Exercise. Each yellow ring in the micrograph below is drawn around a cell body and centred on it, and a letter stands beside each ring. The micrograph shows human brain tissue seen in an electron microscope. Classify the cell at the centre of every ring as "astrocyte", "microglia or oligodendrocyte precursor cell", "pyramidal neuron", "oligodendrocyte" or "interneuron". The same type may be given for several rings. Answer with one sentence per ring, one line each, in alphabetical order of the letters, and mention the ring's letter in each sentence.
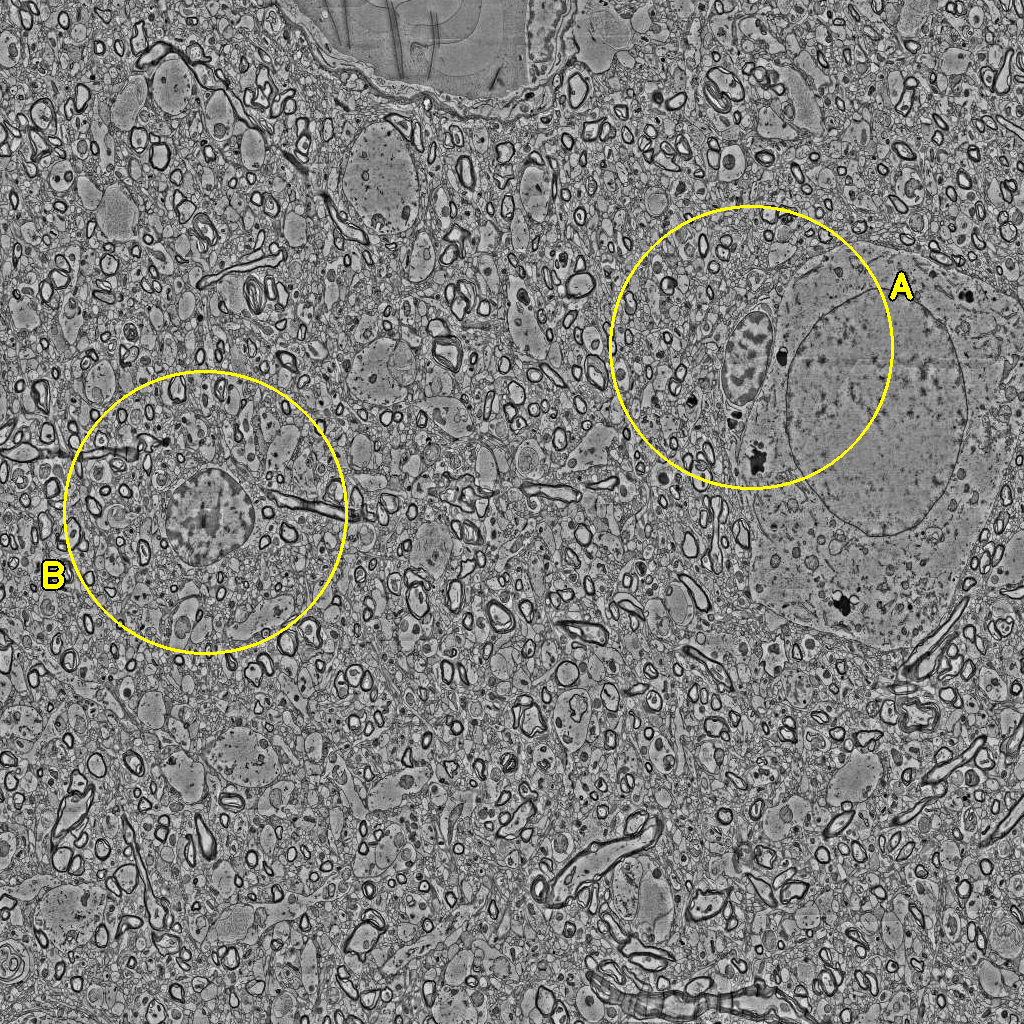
In ring A, the central cell is a microglial cell or oligodendrocyte precursor cell.
In ring B, the central cell is a microglial cell or oligodendrocyte precursor cell.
